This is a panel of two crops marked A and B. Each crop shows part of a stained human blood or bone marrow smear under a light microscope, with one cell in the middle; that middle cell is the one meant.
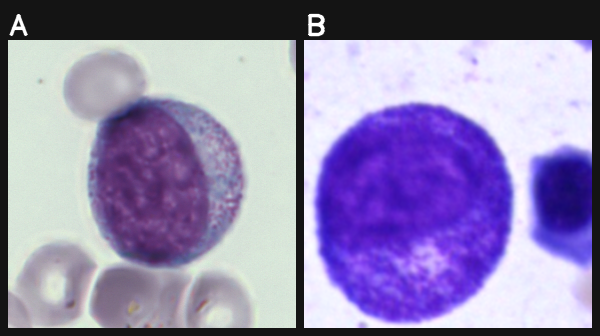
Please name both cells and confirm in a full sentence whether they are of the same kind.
Yes, both crops in the pair show promyelocytes.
